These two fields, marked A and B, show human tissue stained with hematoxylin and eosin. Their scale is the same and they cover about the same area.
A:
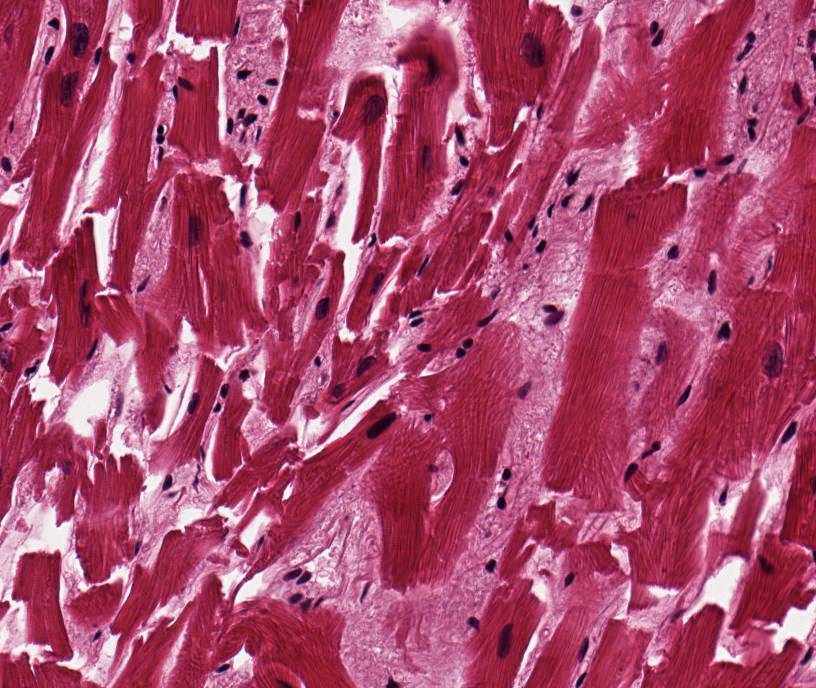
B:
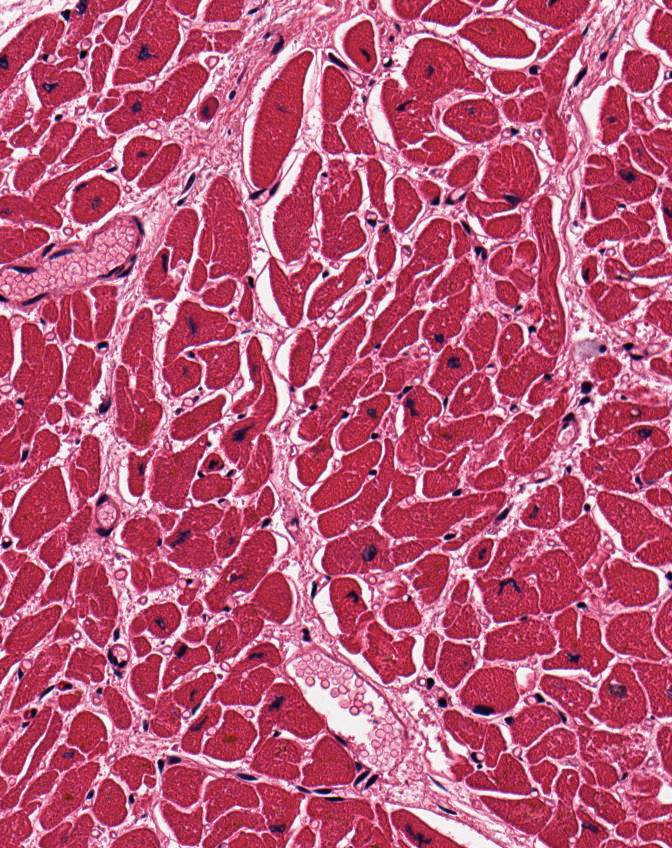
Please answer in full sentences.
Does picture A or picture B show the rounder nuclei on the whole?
On the whole the nuclei of picture B are rounder than those of picture A.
